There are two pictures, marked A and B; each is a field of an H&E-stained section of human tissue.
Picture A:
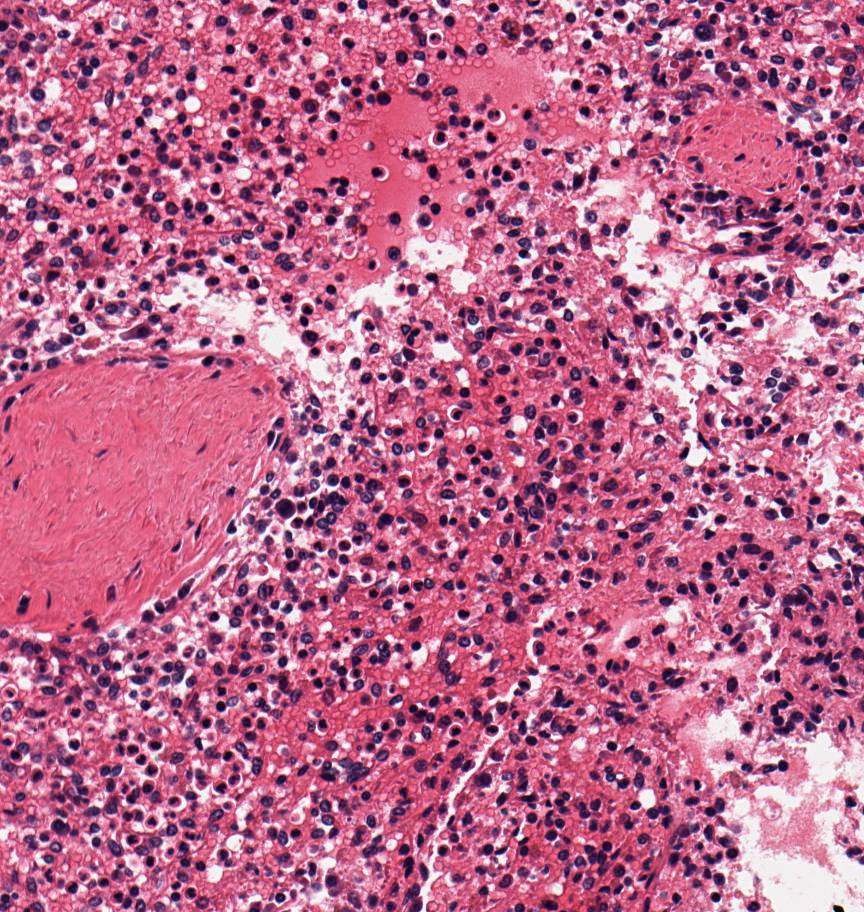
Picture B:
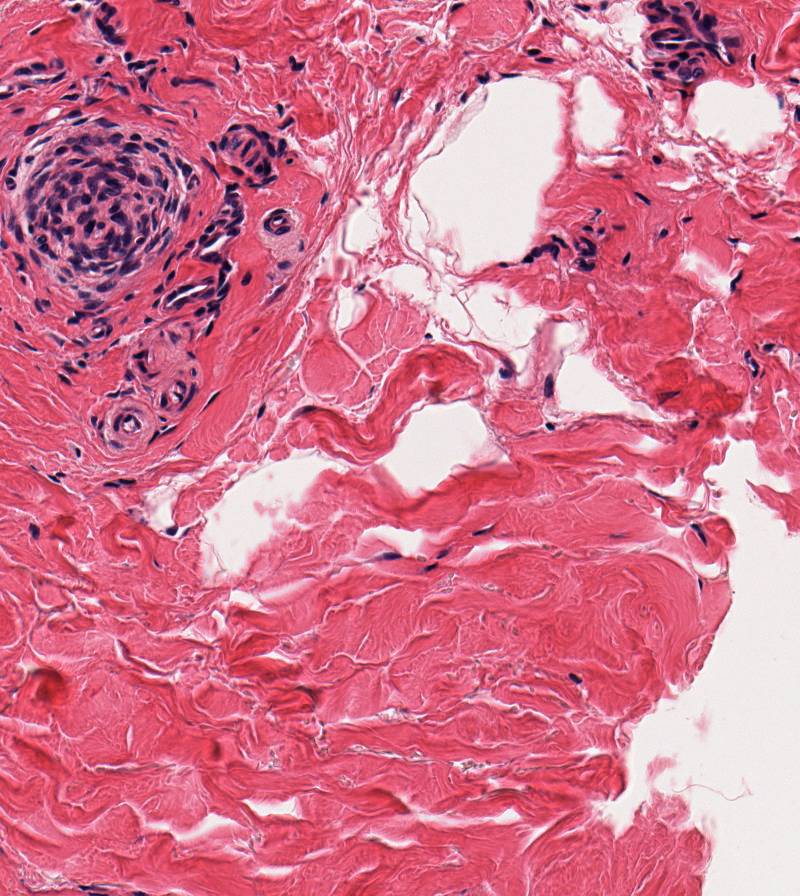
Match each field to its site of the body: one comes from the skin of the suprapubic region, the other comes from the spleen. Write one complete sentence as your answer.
Picture A comes from the spleen; picture B comes from the skin of the suprapubic region.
